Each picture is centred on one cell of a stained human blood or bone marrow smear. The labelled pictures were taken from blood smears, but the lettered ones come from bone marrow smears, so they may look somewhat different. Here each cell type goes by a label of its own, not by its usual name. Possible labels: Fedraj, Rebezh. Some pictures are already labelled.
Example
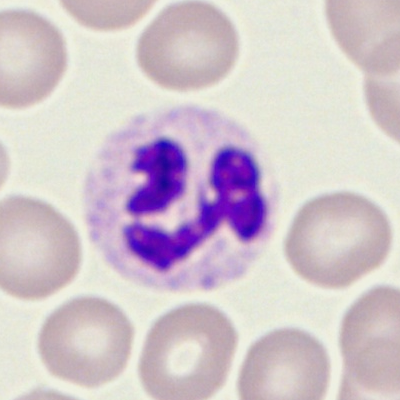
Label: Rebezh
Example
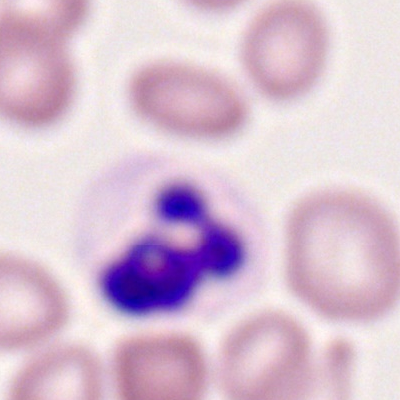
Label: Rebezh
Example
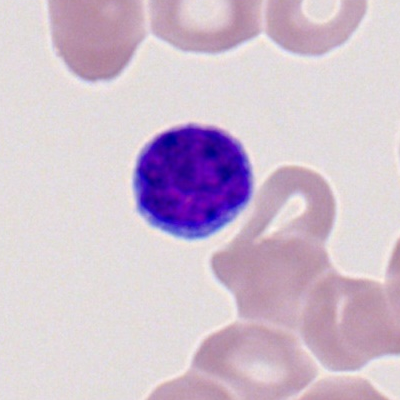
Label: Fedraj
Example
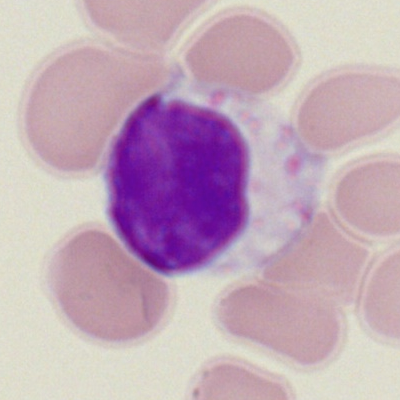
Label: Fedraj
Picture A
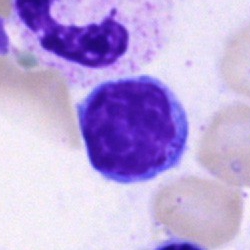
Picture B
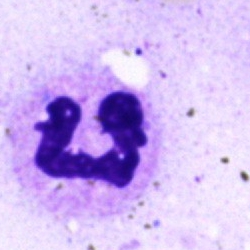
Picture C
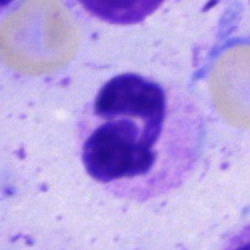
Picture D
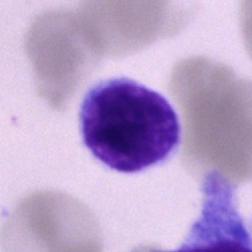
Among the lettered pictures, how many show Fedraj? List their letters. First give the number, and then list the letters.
2, namely A, D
